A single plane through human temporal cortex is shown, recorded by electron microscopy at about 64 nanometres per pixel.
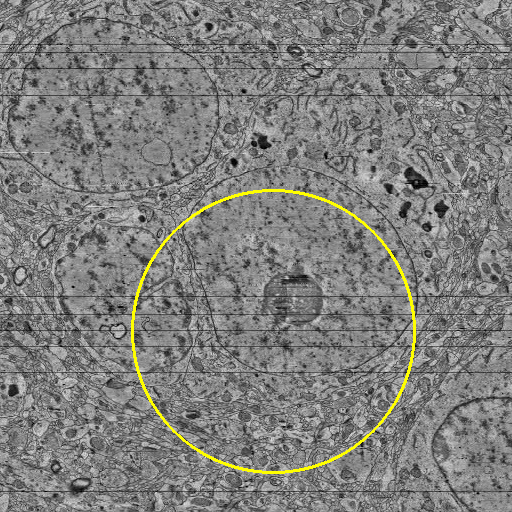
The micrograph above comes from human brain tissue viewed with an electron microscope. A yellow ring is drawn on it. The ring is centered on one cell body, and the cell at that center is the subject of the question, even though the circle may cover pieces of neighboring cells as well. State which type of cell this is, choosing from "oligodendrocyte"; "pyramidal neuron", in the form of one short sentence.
The cell the ring is centered on is a pyramidal neuron.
